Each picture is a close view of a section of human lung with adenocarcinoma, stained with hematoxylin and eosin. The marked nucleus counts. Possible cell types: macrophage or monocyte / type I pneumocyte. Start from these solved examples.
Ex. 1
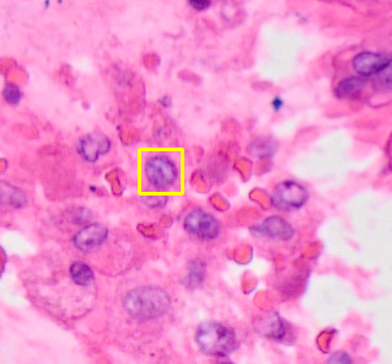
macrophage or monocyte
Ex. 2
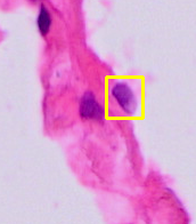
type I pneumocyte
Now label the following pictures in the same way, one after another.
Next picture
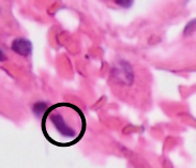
type I pneumocyte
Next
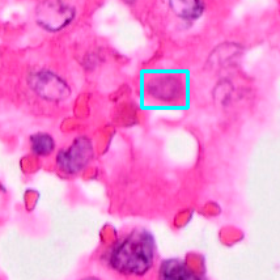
macrophage or monocyte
